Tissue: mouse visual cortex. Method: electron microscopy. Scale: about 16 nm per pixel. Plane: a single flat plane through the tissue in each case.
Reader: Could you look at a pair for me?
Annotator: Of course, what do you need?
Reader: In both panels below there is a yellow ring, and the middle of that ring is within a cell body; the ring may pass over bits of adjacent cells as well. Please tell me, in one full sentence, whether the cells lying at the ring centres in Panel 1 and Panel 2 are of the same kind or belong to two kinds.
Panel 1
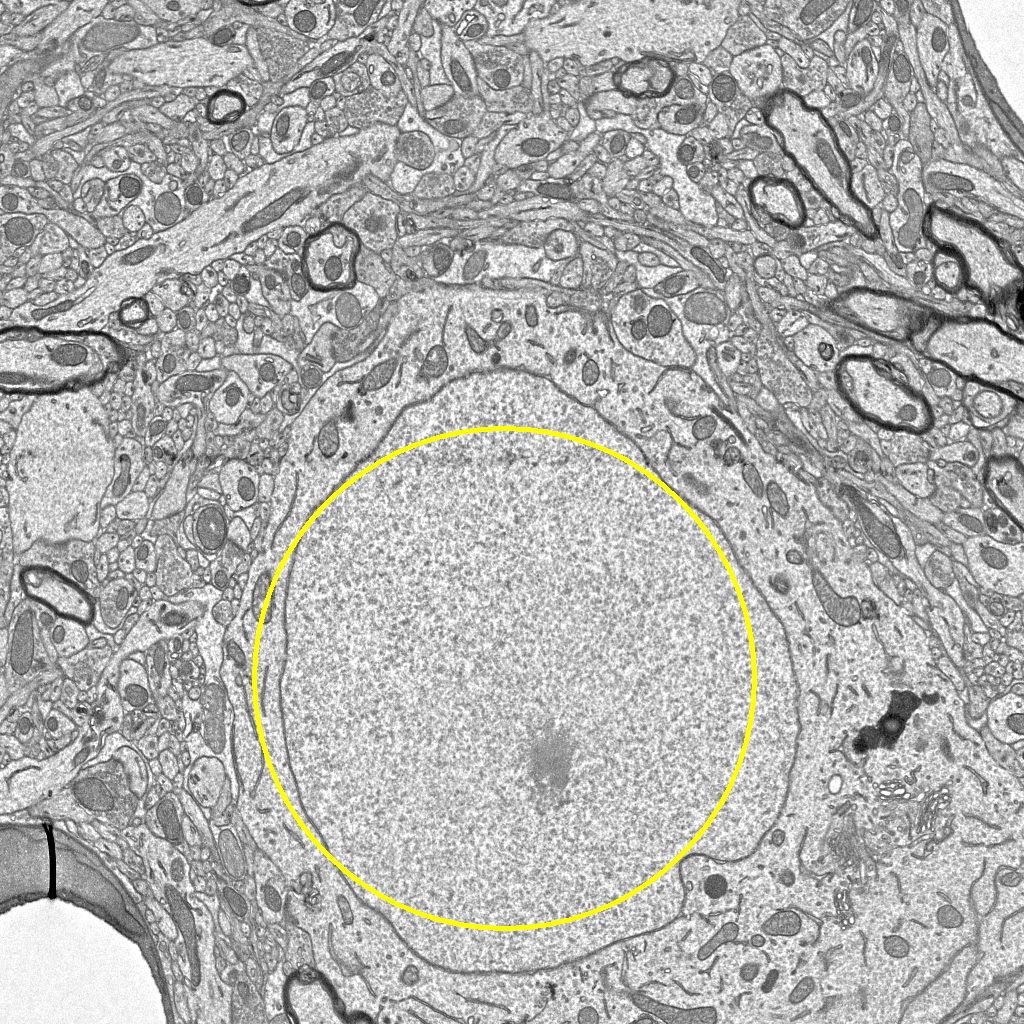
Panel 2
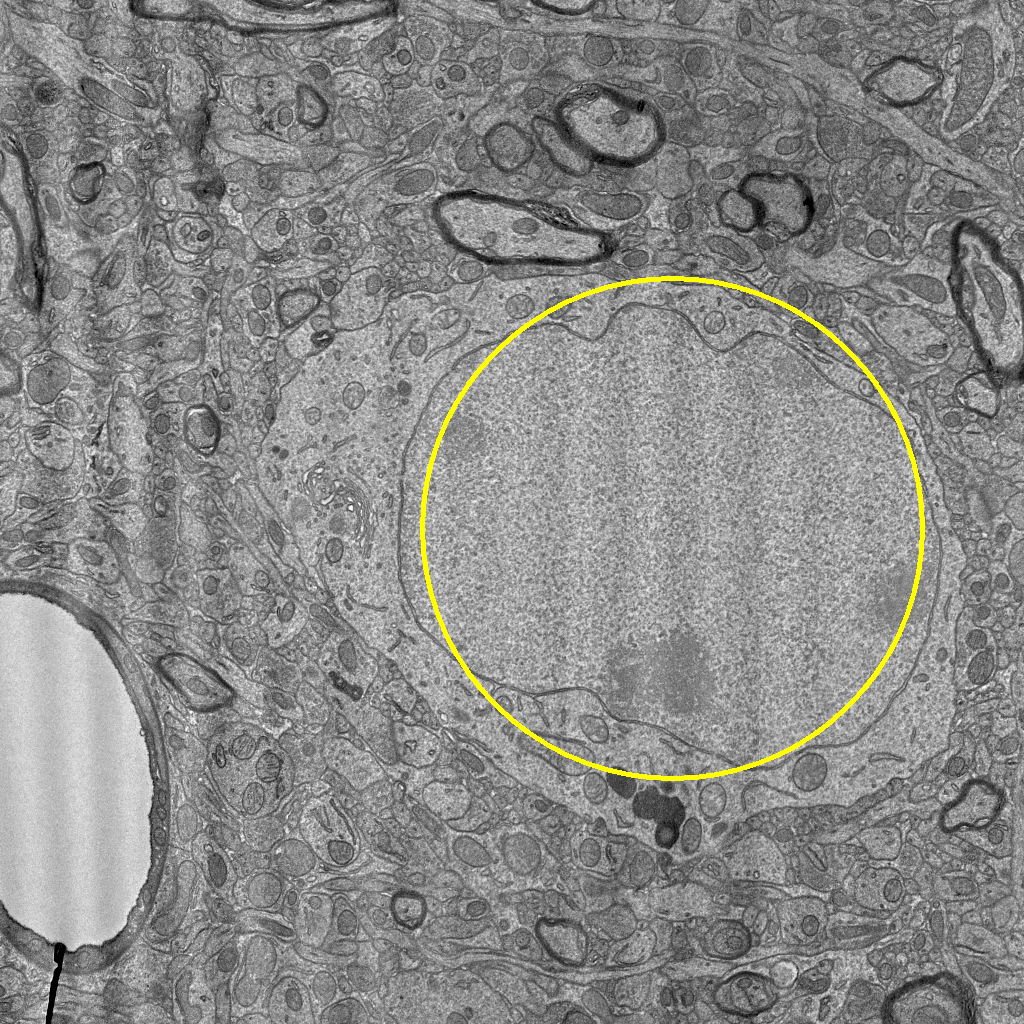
The cell at the ring's centre in Panel 1 and the one in Panel 2 are of the same kind.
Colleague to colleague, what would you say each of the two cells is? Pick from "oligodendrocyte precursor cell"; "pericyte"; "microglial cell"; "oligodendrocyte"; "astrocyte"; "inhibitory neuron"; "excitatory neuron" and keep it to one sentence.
Each cell at the centre of a ring is an excitatory neuron.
